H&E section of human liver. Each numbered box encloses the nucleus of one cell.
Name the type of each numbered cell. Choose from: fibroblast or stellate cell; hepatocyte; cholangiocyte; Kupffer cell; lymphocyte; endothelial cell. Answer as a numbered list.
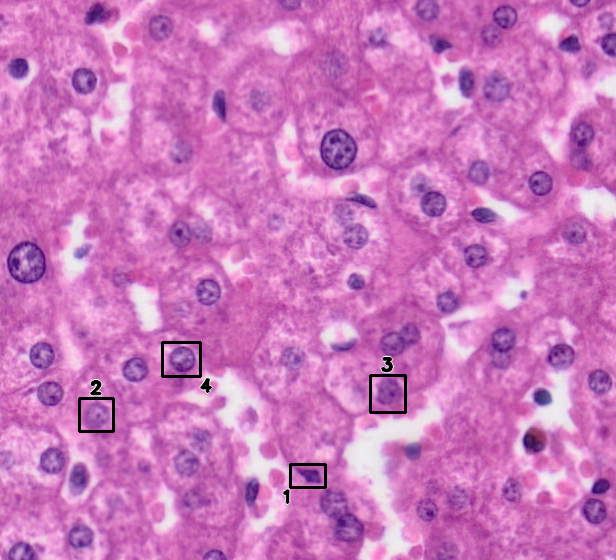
1. fibroblast or stellate cell
2. hepatocyte
3. hepatocyte
4. hepatocyte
